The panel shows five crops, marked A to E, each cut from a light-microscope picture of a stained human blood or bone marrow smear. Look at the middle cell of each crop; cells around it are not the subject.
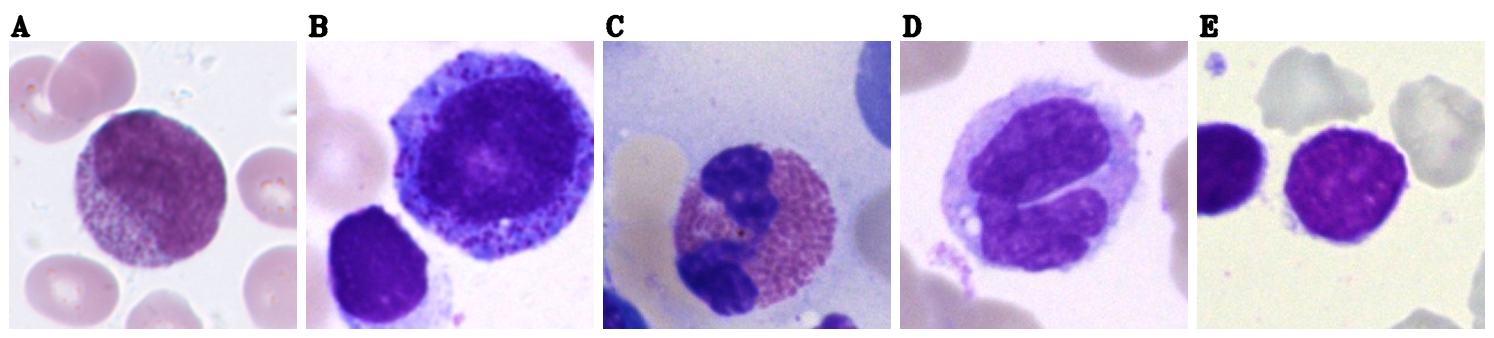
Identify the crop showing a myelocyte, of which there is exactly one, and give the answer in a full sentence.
Crop A is the single crop that shows a myelocyte.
